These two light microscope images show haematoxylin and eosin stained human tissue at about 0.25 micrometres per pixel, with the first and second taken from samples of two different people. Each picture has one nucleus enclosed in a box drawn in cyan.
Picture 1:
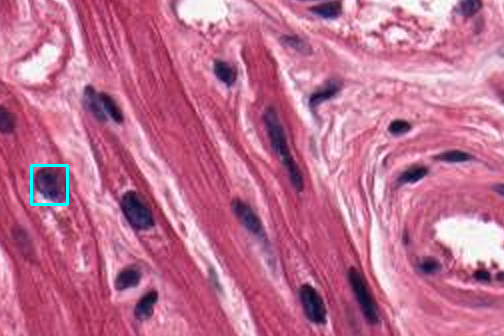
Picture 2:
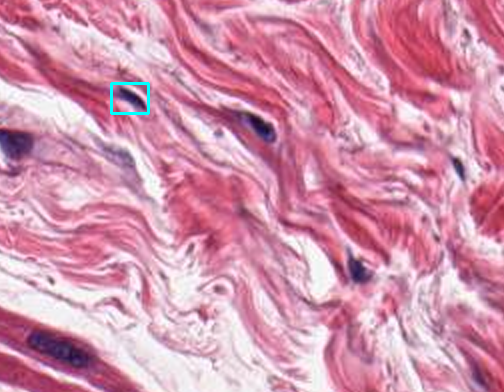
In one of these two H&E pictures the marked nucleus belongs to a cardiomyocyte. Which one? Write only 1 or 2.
1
